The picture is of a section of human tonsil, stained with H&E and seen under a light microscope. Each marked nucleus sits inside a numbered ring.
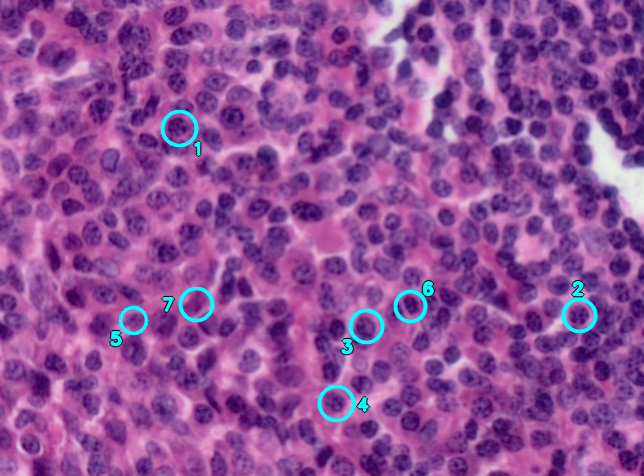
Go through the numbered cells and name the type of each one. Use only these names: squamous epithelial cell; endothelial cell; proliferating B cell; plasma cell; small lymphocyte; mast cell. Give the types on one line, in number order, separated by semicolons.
plasma cell; small lymphocyte; plasma cell; plasma cell; squamous epithelial cell; plasma cell; squamous epithelial cell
